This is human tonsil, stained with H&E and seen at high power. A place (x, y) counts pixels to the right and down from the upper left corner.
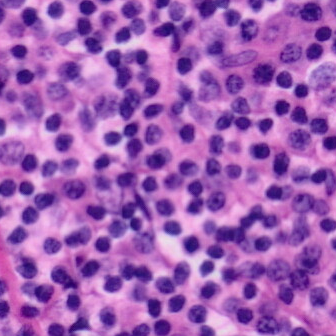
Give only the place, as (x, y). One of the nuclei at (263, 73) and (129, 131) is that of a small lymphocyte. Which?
(129, 131)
